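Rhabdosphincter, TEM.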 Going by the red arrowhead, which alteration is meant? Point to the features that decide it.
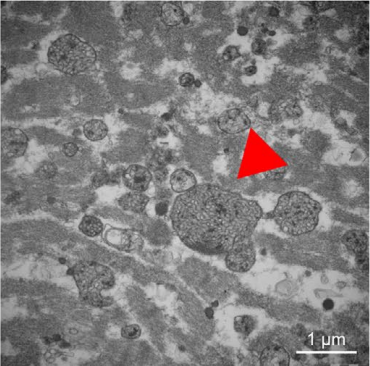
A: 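The marked organelle is a large rounded body much bigger than the neighbouring mitochondria. It lies among disorganized myofibrils.
Answer: Mitochondrial swelling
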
